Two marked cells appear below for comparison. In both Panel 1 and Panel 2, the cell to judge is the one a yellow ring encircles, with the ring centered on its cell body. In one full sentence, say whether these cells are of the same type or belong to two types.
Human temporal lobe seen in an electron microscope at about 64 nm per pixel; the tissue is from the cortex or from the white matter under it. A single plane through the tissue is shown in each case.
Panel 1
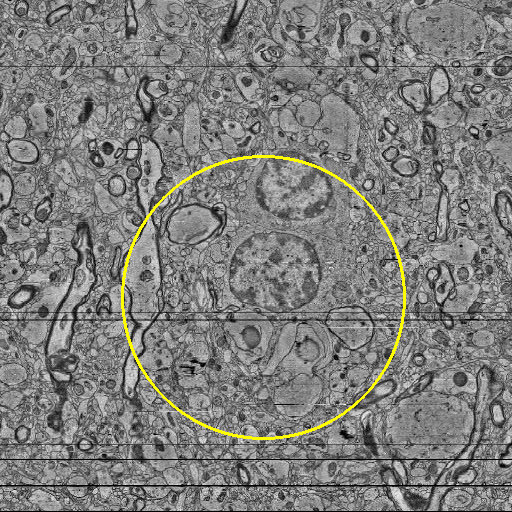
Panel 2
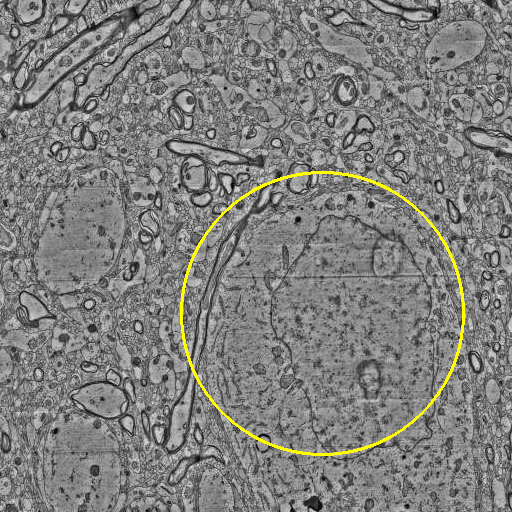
The cell centered in the Panel 1 ring and the one in Panel 2 belong to two types.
